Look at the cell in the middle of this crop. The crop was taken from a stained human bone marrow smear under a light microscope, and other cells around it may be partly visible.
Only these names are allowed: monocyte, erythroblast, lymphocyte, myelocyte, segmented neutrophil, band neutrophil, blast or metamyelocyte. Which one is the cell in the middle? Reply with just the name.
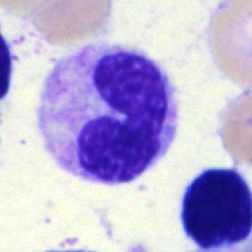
band neutrophil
